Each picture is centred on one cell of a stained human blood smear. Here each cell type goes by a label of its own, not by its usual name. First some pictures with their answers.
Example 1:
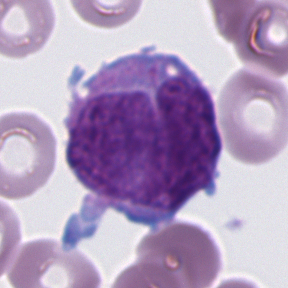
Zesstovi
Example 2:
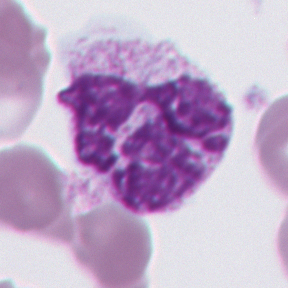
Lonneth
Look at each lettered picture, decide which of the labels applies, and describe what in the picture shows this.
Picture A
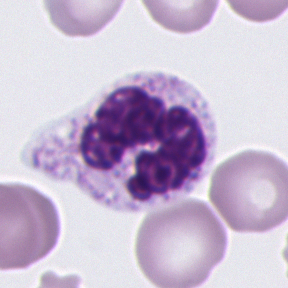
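Answer: Lonneth. The nucleus is divided into several lobes lying in a bent chain.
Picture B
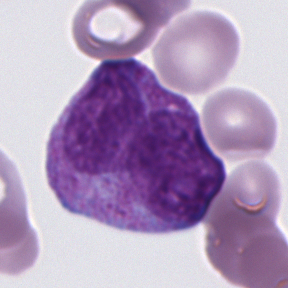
Answer: Zesstovi. The nucleus fills most of the cell.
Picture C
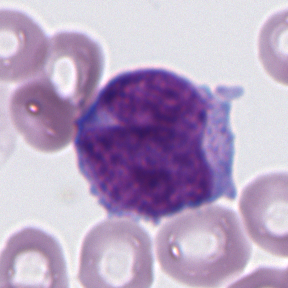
Answer: Zesstovi. The cytoplasm is a narrow rim that is widest on the right side of the cell.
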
